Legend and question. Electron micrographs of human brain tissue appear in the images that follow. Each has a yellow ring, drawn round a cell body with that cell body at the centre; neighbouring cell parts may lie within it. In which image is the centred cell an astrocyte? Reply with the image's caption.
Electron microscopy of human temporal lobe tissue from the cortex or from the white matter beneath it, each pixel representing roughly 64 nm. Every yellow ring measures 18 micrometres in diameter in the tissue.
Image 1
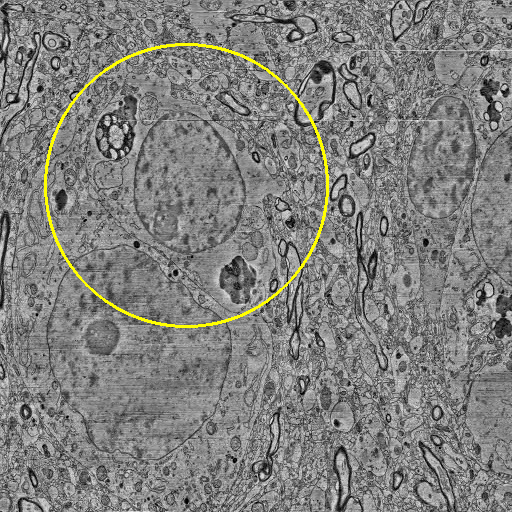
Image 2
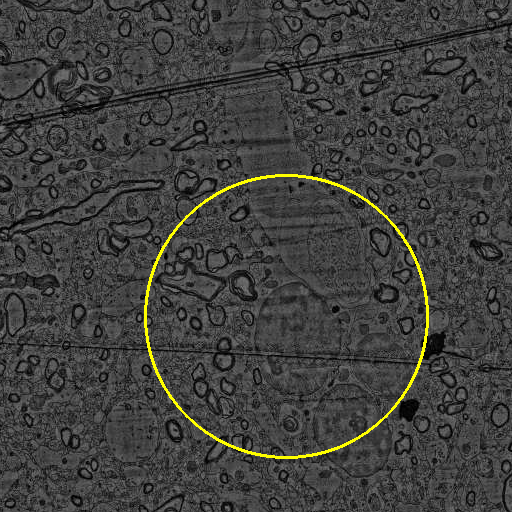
Image 1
